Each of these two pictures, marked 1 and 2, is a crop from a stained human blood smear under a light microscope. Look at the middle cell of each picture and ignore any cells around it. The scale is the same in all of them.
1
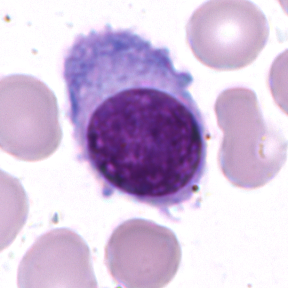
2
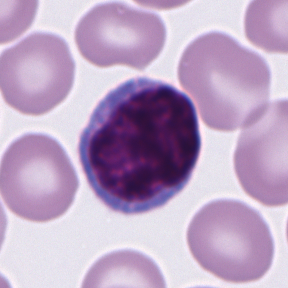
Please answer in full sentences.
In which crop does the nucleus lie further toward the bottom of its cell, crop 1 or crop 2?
It is the nucleus in crop 1 that lies further toward the bottom of its cell.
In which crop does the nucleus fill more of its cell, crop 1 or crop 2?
In crop 2 the nucleus takes up the larger part of its cell.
